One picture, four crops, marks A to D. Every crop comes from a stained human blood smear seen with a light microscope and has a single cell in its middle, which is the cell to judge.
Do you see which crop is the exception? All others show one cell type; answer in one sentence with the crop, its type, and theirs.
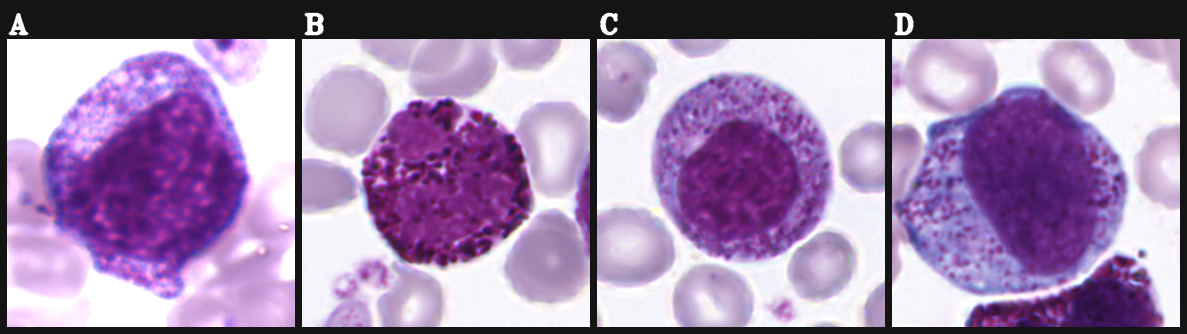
Crop B alone is a basophil, and the other crops are all promyelocytes.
